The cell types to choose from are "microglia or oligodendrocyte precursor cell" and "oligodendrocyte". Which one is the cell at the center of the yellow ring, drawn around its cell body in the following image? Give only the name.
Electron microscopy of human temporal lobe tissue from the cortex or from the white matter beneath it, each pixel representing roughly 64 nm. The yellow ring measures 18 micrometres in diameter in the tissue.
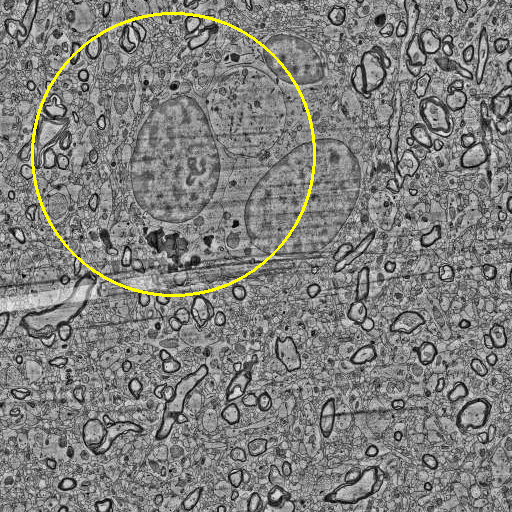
oligodendrocyte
